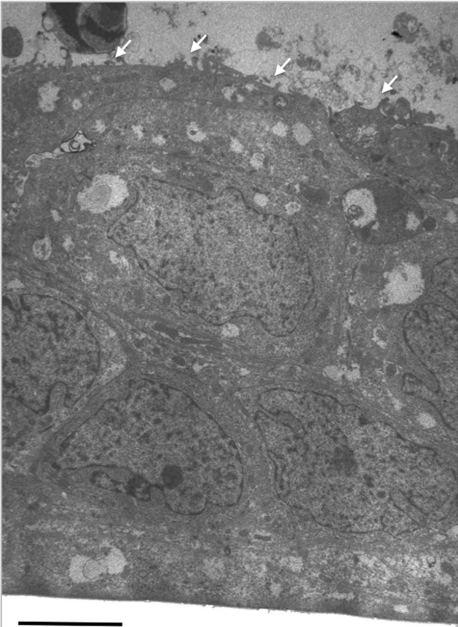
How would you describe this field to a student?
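This electron micrograph shows a section through a multilayered sheet of epithelial cells. Several cells are stacked on top of one another, each with a large oval nucleus with an irregular, finely granular chromatin texture and a clear nuclear envelope. The cytoplasm holds scattered pale vacuoles and some dense bodies. The cells at the free upper surface carry small projections, microvilli, reaching into the space above.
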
